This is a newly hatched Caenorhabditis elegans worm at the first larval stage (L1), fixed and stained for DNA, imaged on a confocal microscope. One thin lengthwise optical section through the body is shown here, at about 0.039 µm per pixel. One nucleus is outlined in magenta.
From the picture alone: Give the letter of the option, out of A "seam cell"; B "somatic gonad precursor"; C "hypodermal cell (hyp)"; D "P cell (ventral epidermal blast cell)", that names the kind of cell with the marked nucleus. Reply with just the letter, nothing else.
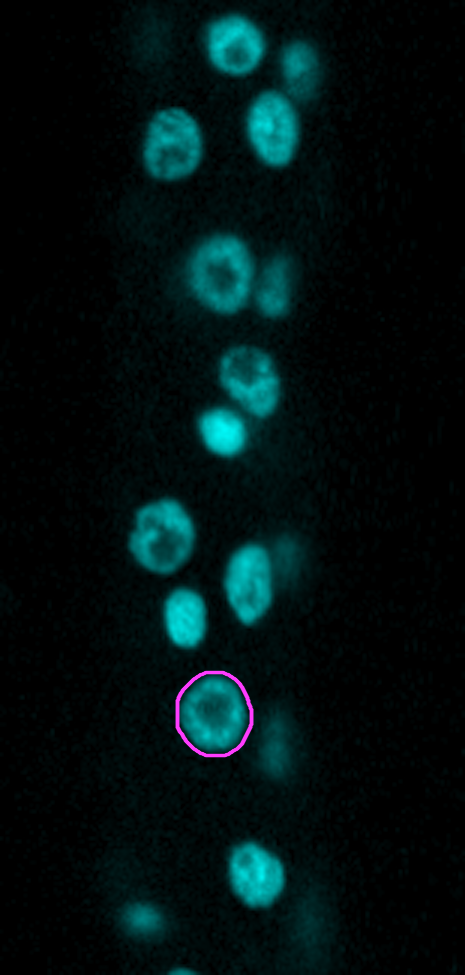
A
